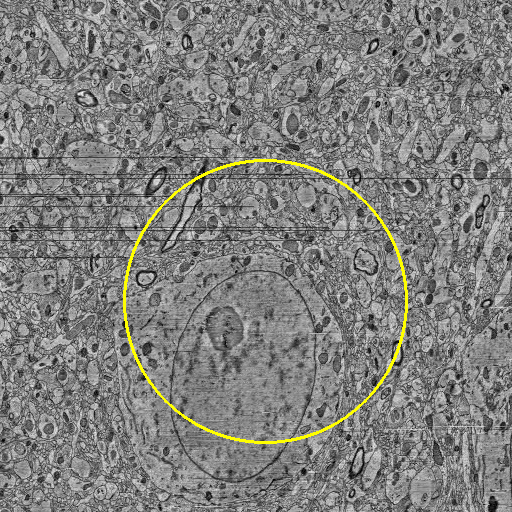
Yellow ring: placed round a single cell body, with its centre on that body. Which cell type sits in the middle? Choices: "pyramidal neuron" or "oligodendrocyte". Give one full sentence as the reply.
It is a pyramidal neuron whose cell body sits at the centre of the yellow ring.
